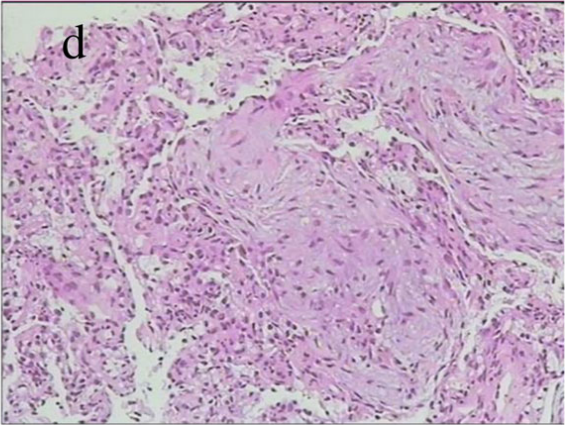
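A pink-stained section of lung tissue in which the normal lacy air spaces are largely lost. A central rounded, whorled mass of pale pink loose fibrous tissue contains elongated spindle-shaped nuclei running in streams. Around it the alveolar walls are thick and crowded with small dark nuclei of inflammatory cells, and only narrow slit-like clear spaces remain between them. This picture of widened, cellular alveolar walls and air spaces filled by plugs of fibrous tissue is that of organizing pneumonia, with inflammatory infiltration of the interstitium and replacement of alveolar cavities by hyperplastic fibrous tissue.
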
